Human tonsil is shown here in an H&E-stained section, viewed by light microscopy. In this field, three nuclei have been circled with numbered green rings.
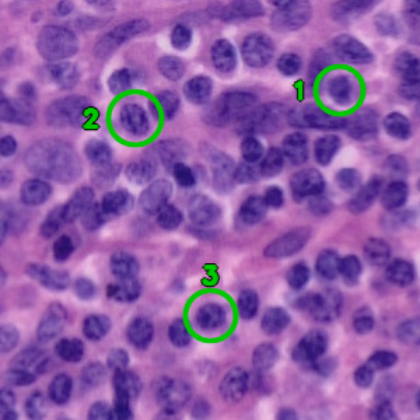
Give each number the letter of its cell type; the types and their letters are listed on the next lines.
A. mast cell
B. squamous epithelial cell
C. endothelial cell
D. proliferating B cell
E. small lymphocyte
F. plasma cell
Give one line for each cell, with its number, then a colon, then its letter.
1: B
2: F
3: F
